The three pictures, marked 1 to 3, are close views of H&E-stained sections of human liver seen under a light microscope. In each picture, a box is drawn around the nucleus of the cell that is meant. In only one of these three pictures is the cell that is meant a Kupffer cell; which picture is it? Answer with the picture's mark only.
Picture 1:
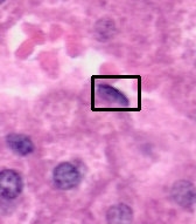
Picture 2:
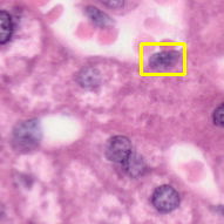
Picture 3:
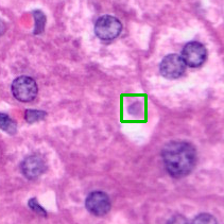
3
